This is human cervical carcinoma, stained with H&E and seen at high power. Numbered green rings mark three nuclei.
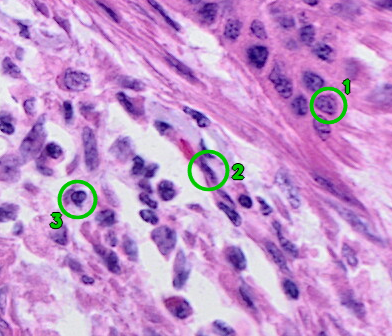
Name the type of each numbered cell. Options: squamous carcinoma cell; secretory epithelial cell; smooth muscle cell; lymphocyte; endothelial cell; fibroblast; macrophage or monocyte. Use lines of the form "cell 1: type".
cell 1: squamous carcinoma cell
cell 2: endothelial cell
cell 3: lymphocyte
